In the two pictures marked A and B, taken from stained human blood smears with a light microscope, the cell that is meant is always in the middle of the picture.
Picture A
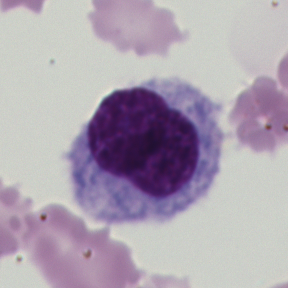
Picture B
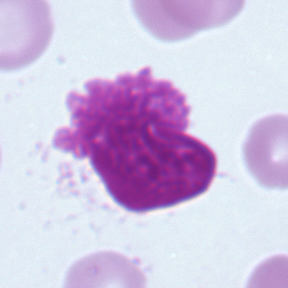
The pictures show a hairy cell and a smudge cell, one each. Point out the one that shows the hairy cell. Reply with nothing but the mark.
A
